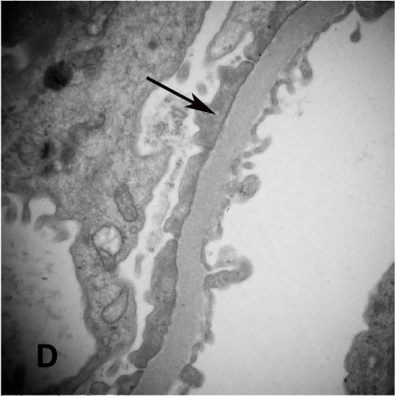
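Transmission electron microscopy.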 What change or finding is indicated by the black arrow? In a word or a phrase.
Fused foot processes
